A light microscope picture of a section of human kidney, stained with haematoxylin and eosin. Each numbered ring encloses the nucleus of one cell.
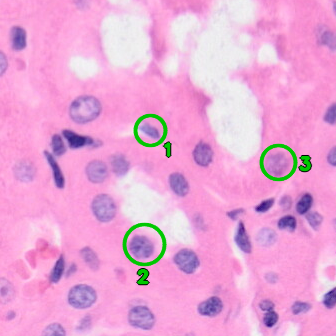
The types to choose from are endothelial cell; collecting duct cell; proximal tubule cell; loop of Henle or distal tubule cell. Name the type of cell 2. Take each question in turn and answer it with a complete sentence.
To a loop of Henle or distal tubule cell belongs the nucleus marked 2.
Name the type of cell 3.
Here, the cell given the number 3 is a proximal tubule cell.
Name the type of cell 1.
The cell referred to as 1 is an endothelial cell.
